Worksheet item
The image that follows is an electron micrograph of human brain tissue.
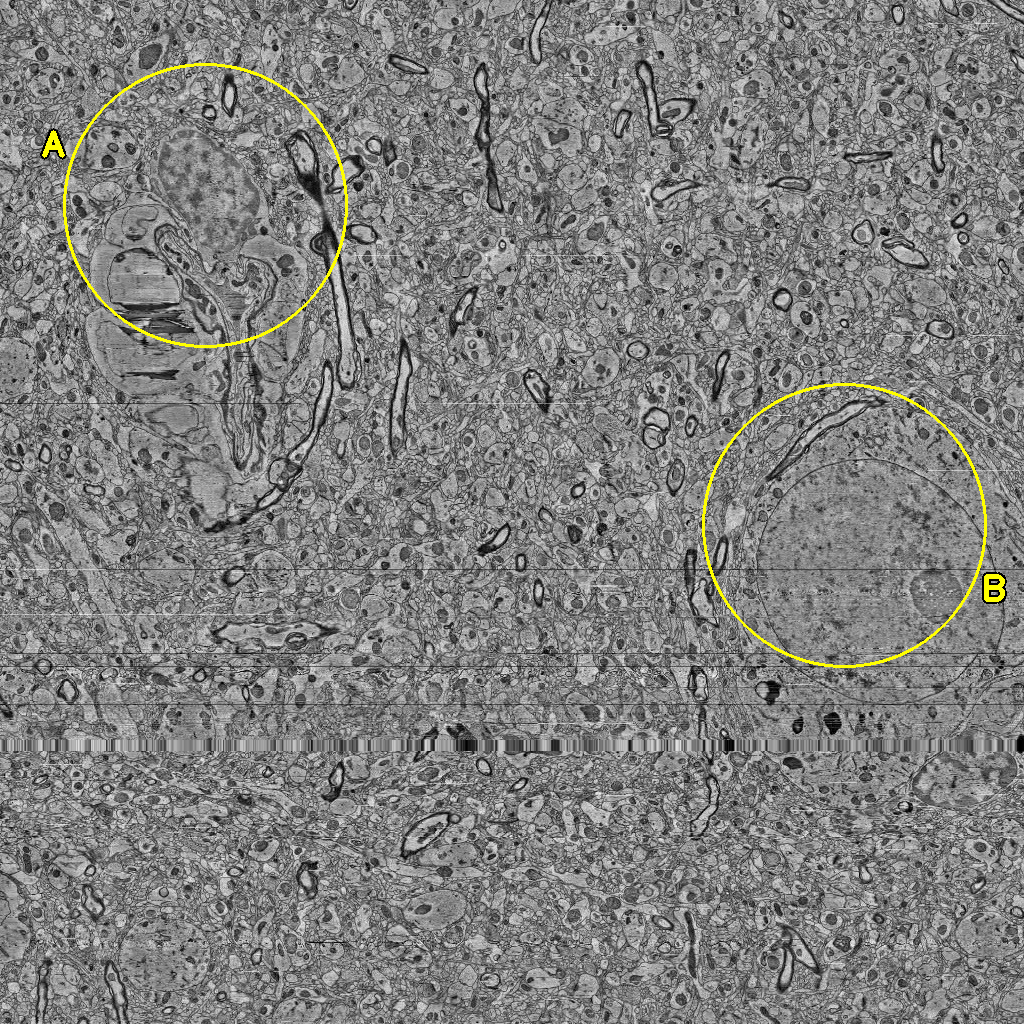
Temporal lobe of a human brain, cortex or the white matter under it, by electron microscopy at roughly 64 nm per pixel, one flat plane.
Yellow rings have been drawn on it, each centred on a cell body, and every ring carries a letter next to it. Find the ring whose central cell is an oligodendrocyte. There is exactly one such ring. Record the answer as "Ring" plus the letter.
Ring A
